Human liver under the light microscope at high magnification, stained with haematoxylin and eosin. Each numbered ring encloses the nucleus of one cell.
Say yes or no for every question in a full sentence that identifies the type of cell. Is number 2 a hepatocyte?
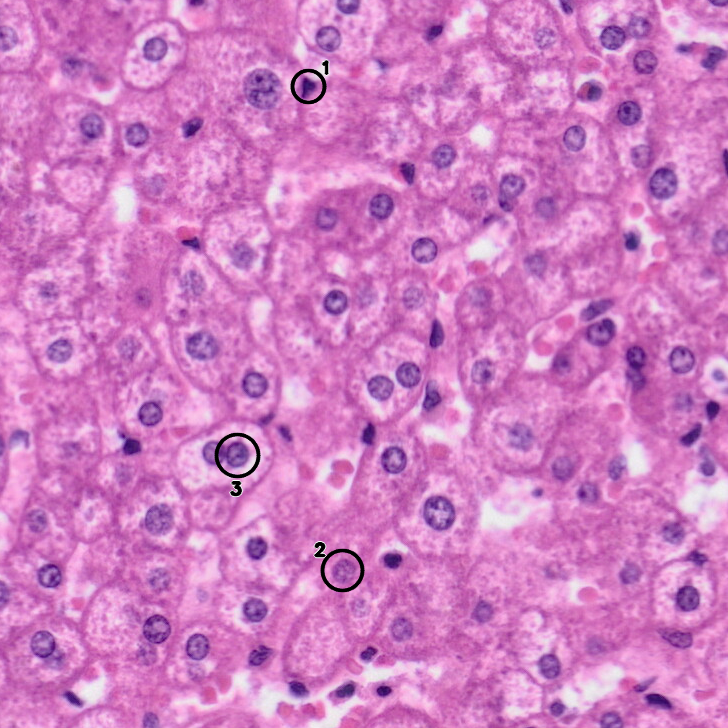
Yes, so the cell at label 2 is a hepatocyte.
